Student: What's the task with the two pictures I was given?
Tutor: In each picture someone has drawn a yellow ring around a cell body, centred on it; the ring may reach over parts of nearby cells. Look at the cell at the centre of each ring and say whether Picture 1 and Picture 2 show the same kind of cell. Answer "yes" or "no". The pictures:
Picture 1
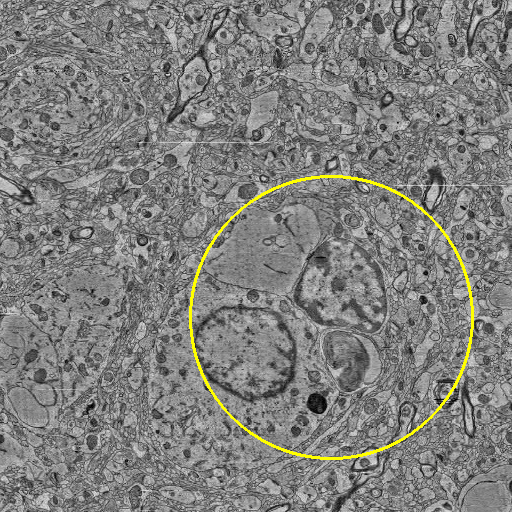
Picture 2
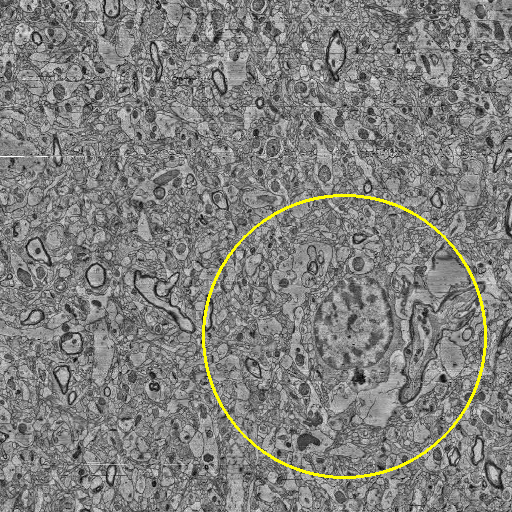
no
